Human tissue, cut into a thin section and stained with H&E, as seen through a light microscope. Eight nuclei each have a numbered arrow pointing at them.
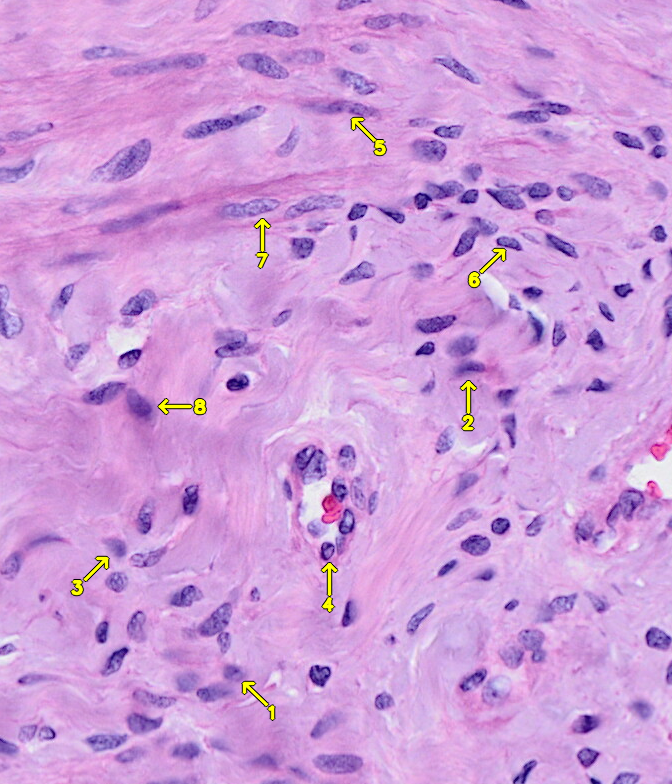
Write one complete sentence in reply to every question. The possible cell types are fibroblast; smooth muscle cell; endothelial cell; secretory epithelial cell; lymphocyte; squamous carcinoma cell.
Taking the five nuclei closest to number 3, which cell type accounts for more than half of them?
Around number 3, most of the five nearest nuclei are those of fibroblasts.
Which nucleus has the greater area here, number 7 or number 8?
Of the two, number 8 is bigger and takes up about 1.5 times the area of number 7.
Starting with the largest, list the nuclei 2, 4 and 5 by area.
By area, largest first, they run 5, 2, 4.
